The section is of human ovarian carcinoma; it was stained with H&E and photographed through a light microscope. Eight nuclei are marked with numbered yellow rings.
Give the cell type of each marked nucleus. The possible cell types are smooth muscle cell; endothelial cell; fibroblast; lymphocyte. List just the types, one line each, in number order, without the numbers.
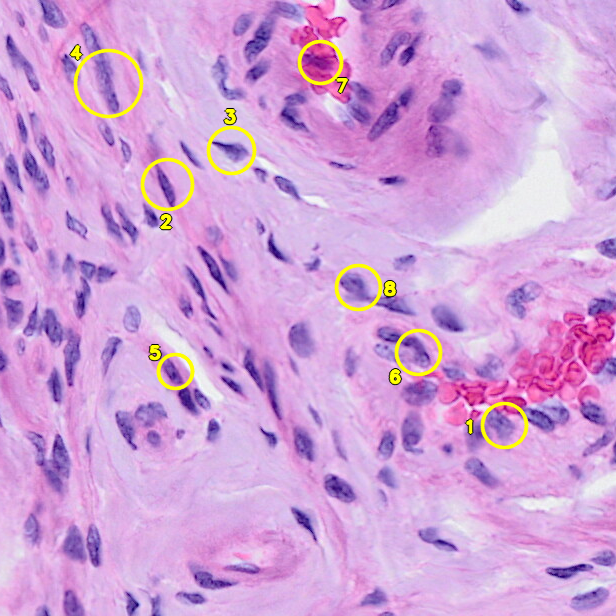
endothelial cell
smooth muscle cell
fibroblast
smooth muscle cell
endothelial cell
endothelial cell
endothelial cell
fibroblast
